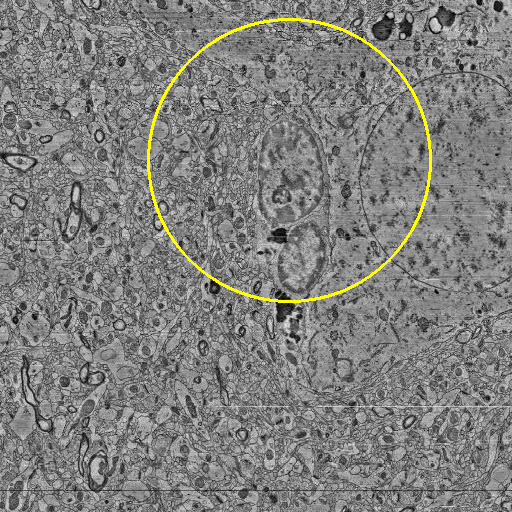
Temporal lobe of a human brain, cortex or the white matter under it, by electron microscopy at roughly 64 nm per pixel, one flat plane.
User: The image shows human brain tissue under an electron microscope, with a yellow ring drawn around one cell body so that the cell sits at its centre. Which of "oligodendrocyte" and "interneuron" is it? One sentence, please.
At the centre of the ring sits an oligodendrocyte.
